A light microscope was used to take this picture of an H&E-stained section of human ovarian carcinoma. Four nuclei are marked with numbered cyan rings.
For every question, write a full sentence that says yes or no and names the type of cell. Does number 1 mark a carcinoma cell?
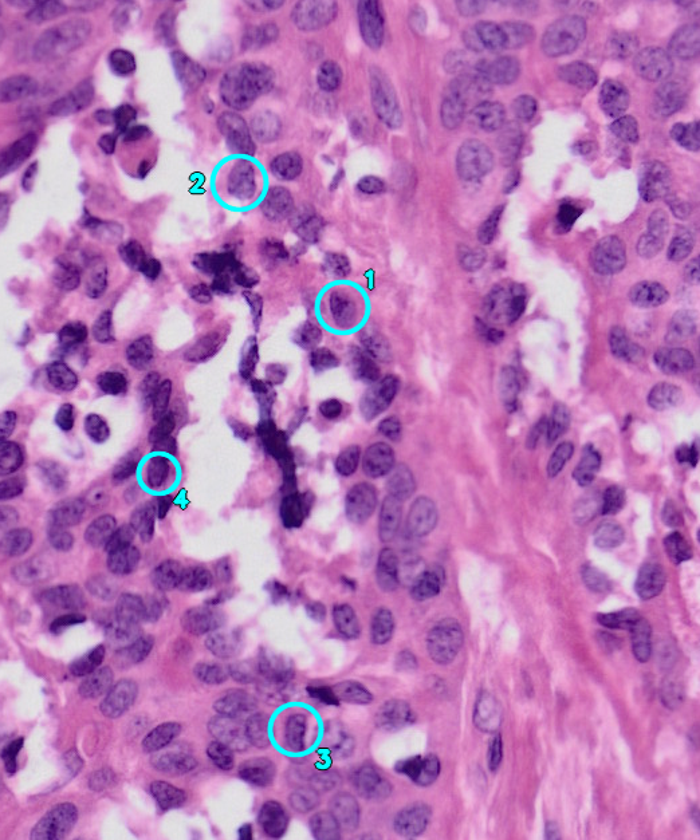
Yes, regarding cell number 1, it is a carcinoma cell.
